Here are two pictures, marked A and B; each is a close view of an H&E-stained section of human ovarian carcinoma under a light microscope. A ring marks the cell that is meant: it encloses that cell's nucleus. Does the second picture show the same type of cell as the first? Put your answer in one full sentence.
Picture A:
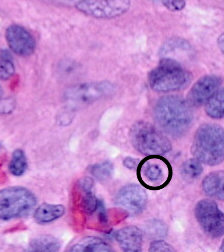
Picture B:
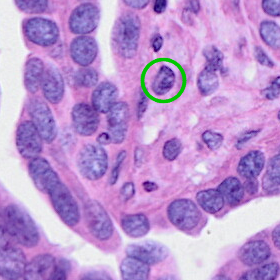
Yes, both are “macrophages or monocytes”.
